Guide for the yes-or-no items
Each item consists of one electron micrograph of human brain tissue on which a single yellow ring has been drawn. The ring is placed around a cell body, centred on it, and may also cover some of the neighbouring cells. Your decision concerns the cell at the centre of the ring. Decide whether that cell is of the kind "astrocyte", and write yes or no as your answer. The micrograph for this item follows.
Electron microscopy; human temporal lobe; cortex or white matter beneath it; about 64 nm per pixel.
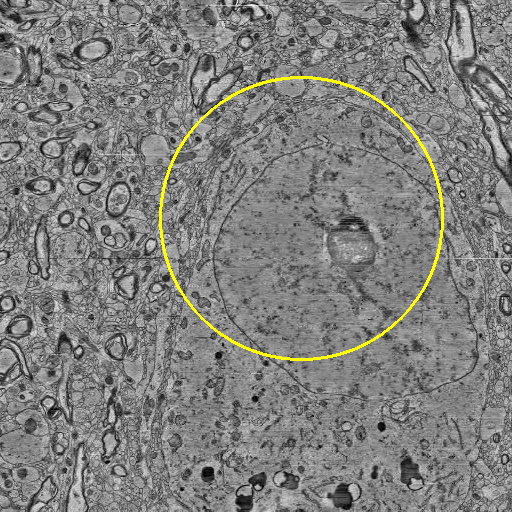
no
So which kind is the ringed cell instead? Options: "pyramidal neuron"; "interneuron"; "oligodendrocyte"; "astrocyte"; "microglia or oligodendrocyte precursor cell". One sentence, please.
What the ring is centred on is a pyramidal neuron.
